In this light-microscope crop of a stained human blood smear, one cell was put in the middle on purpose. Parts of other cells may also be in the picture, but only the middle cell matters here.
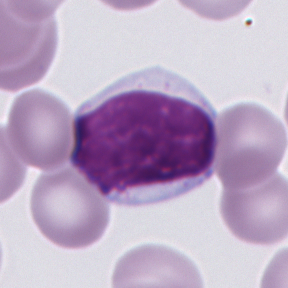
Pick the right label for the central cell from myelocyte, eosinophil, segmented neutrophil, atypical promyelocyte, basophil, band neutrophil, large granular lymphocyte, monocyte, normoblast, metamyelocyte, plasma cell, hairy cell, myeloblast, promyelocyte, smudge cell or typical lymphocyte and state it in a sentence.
The cell in the exact centre of the crop is a large granular lymphocyte.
